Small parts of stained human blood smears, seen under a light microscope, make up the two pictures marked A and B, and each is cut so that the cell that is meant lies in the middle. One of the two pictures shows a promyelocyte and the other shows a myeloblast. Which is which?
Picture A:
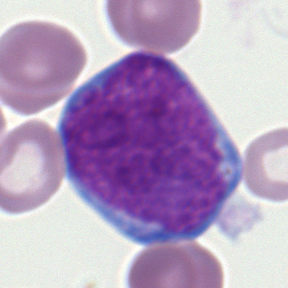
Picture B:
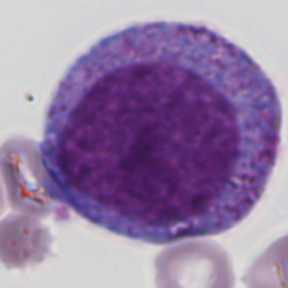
A: myeloblast
B: promyelocyte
